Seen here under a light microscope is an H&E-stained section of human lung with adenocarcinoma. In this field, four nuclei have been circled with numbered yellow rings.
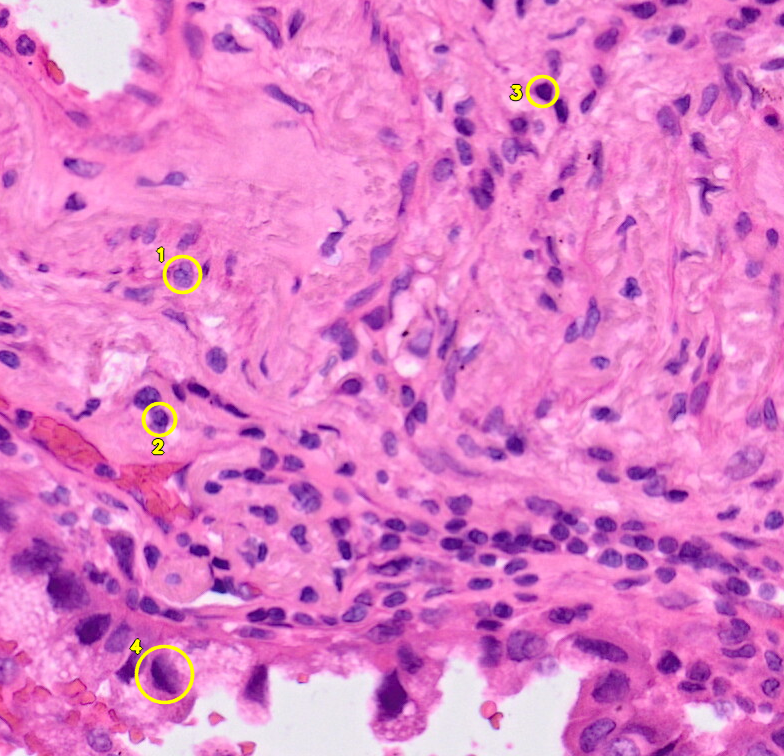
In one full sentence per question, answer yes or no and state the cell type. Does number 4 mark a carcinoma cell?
Yes, the cell that bears the number 4 is a carcinoma cell.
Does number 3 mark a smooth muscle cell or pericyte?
No, cell 3 is not a smooth muscle cell or pericyte; it is a plasma cell.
